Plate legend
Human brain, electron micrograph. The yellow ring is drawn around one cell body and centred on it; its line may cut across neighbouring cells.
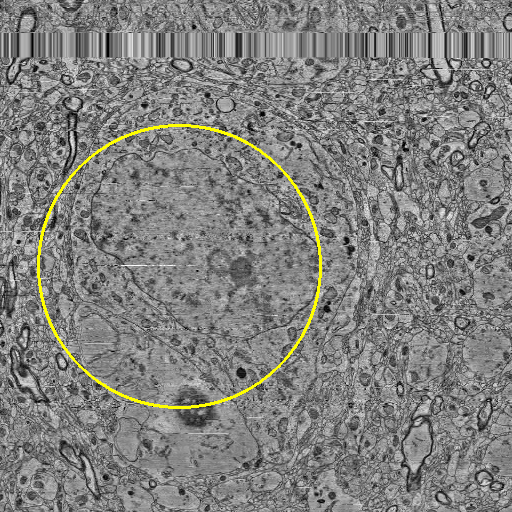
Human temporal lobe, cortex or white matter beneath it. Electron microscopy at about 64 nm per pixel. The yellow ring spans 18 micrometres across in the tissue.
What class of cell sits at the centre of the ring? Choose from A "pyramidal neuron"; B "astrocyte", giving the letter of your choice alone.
A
